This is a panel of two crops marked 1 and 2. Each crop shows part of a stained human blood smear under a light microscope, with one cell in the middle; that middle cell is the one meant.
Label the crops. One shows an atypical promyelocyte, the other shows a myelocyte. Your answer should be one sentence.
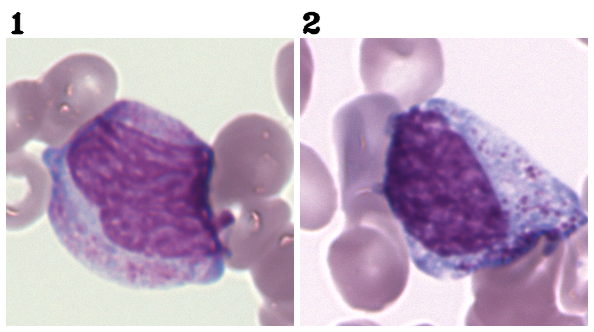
Crop 1 is an atypical promyelocyte, while a myelocyte is the cell in crop 2.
